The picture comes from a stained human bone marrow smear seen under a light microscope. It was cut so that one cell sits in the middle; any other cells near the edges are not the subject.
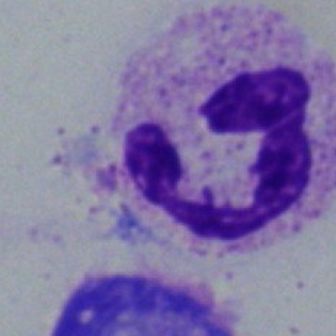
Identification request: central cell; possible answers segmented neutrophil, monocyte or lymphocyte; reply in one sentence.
The identification for the central cell is a segmented neutrophil.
